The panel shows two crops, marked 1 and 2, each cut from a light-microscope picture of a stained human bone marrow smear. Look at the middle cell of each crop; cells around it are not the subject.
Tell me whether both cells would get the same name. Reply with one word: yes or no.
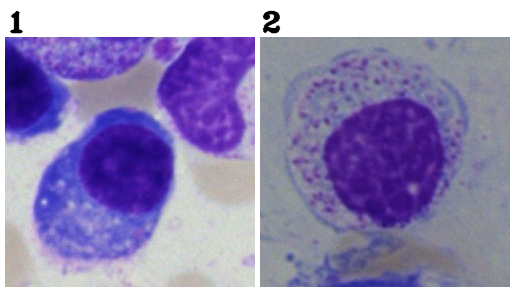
no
